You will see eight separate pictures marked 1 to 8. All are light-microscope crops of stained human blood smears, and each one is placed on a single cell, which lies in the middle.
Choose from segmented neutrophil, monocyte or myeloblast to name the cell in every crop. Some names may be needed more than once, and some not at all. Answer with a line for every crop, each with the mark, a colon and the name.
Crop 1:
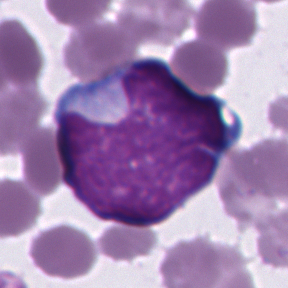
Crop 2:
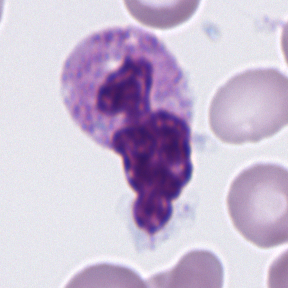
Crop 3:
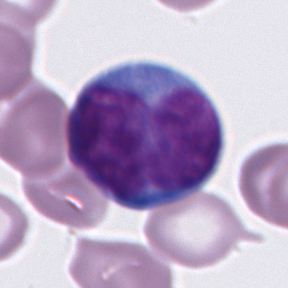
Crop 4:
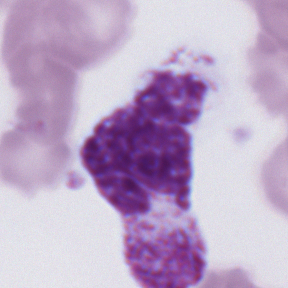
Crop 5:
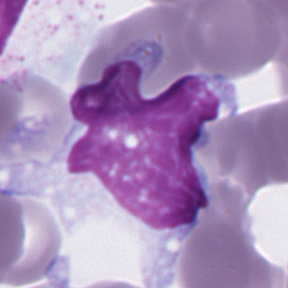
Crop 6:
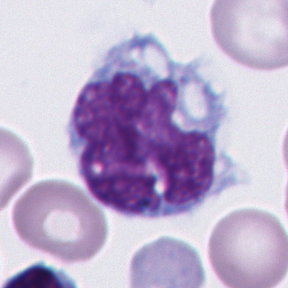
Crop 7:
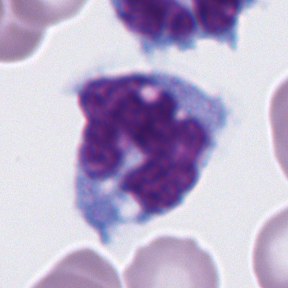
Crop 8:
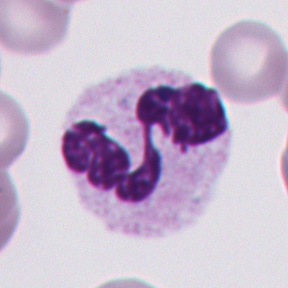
1: myeloblast
2: segmented neutrophil
3: myeloblast
4: segmented neutrophil
5: monocyte
6: monocyte
7: monocyte
8: segmented neutrophil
